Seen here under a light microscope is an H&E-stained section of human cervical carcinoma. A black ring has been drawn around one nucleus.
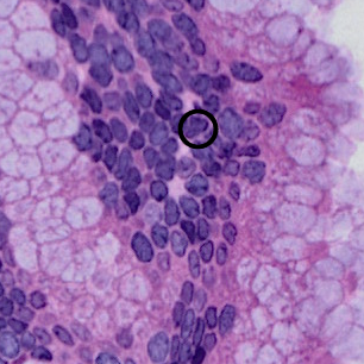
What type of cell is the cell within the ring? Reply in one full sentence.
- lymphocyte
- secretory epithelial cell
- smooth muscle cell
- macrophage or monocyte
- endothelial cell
This is a secretory epithelial cell.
